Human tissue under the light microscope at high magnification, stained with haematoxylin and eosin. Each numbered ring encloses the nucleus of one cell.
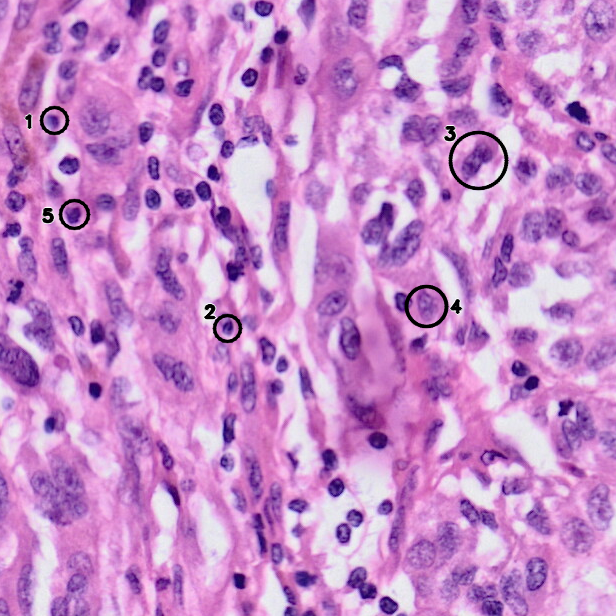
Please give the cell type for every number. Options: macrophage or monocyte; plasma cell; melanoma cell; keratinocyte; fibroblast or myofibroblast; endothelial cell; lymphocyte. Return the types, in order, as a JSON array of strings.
["lymphocyte", "lymphocyte", "melanoma cell", "melanoma cell", "lymphocyte"]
